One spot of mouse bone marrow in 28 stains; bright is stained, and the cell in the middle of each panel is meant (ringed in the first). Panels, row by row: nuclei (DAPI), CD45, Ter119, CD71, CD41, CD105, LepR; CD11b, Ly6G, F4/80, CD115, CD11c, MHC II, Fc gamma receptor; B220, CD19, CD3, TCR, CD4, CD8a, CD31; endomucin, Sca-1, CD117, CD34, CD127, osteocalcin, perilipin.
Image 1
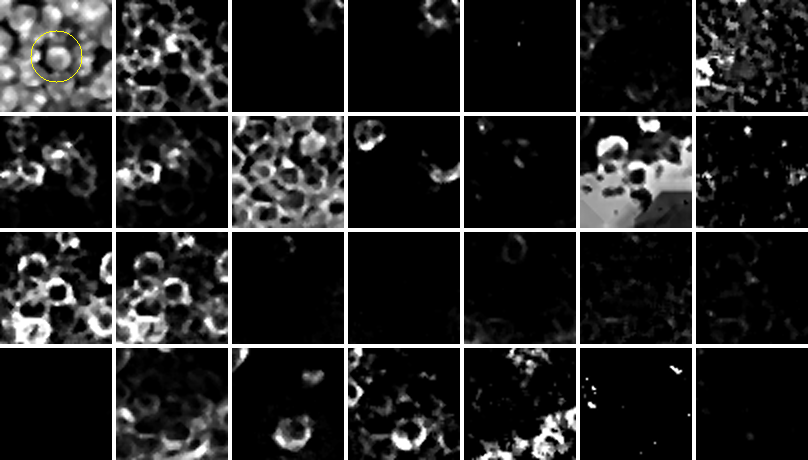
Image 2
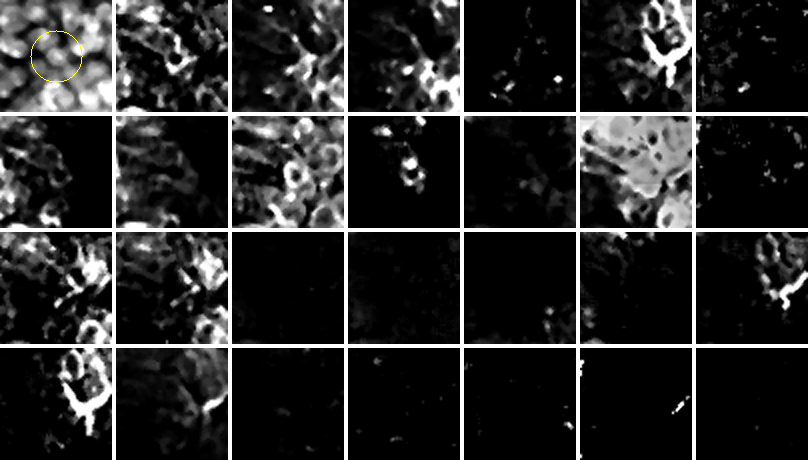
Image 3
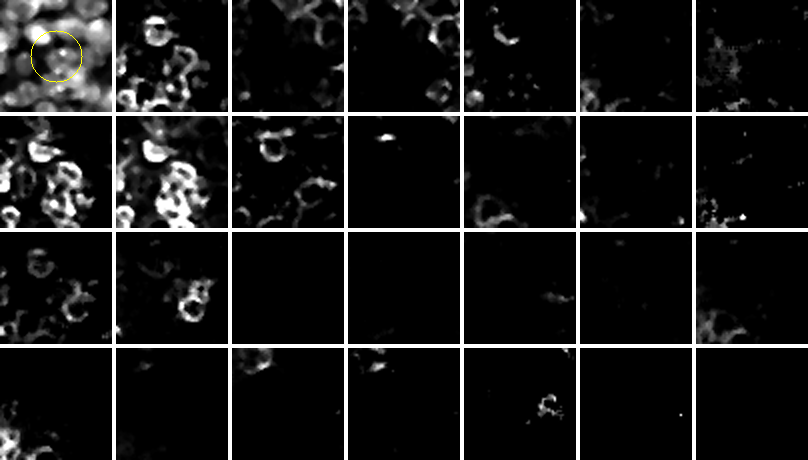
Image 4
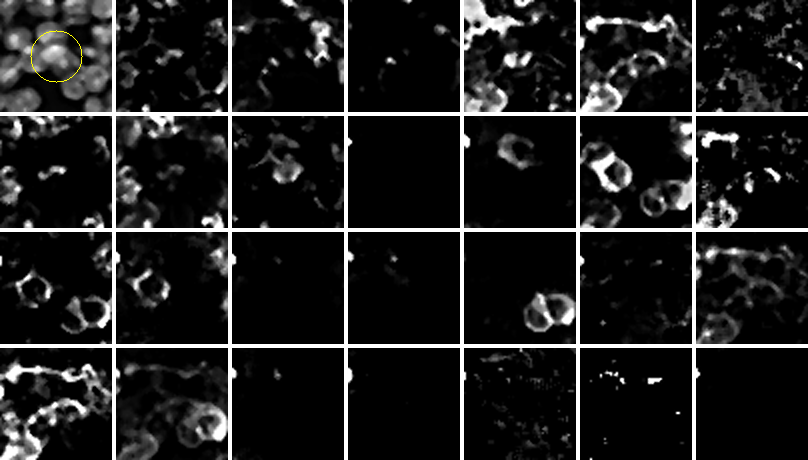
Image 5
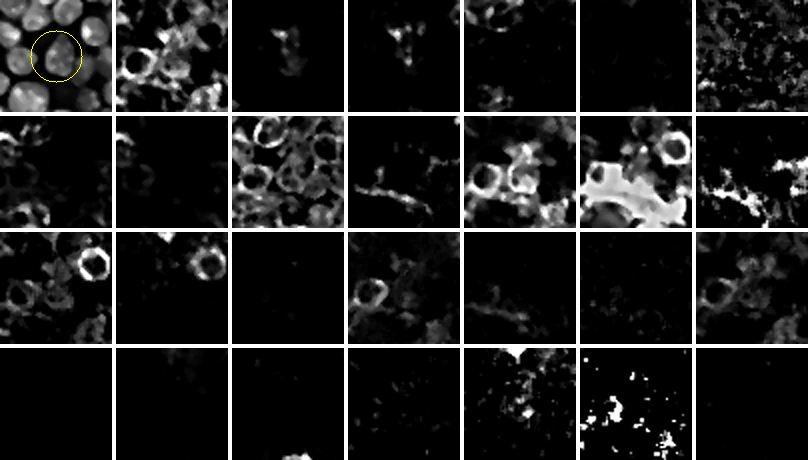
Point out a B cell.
That is picture 1.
